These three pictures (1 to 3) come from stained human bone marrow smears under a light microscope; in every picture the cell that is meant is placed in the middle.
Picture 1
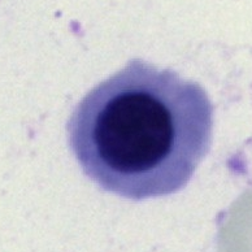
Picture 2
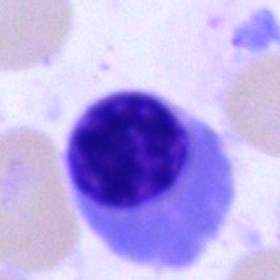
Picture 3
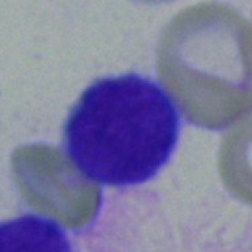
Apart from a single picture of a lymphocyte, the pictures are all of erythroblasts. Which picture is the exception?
3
